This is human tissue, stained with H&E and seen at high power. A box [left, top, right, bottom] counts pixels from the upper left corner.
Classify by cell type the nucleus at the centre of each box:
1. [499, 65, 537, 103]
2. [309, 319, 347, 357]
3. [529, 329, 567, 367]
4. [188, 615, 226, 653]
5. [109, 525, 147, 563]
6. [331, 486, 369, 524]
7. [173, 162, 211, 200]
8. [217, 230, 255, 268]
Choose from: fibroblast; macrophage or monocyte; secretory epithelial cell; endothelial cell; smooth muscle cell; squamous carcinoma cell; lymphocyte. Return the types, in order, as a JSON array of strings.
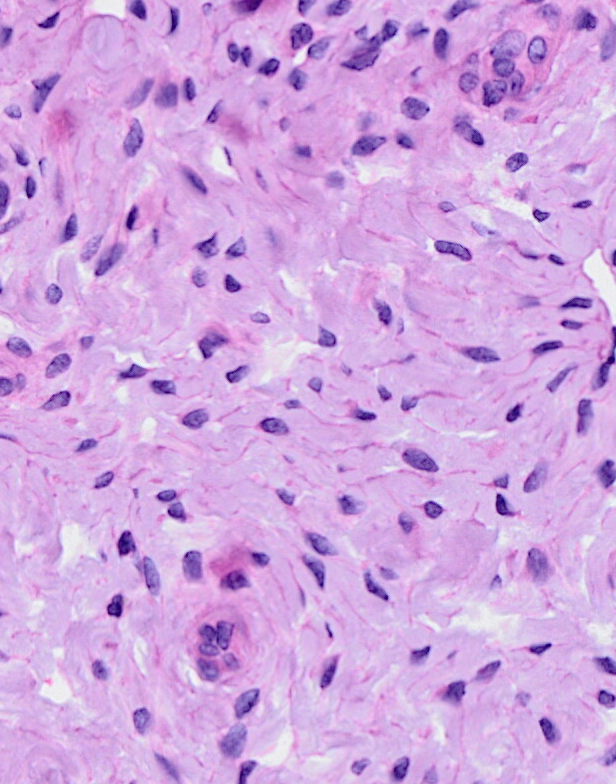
["endothelial cell", "fibroblast", "fibroblast", "endothelial cell", "lymphocyte", "fibroblast", "fibroblast", "fibroblast"]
